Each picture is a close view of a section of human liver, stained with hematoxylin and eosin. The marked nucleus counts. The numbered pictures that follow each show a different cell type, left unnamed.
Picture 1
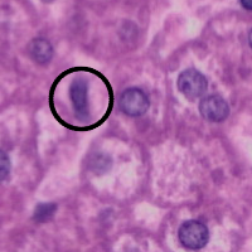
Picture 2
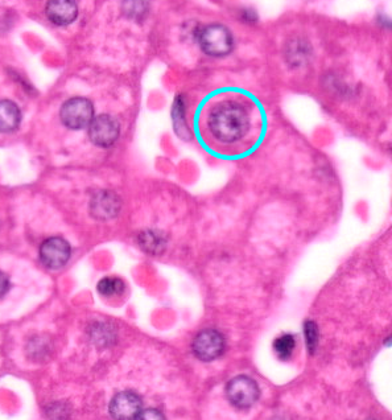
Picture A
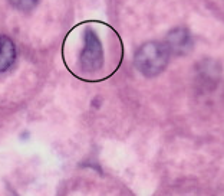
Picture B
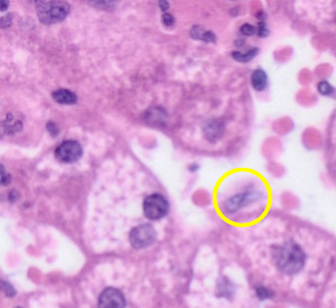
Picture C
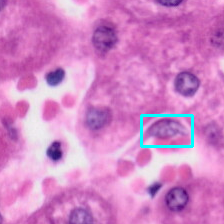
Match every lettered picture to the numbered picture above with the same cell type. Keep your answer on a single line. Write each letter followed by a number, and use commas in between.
A 1, B 1, C 1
